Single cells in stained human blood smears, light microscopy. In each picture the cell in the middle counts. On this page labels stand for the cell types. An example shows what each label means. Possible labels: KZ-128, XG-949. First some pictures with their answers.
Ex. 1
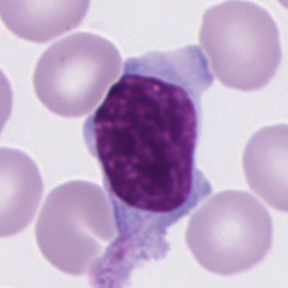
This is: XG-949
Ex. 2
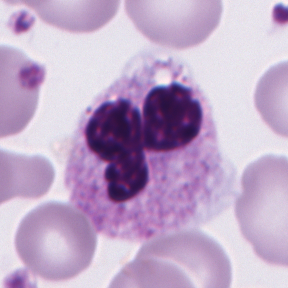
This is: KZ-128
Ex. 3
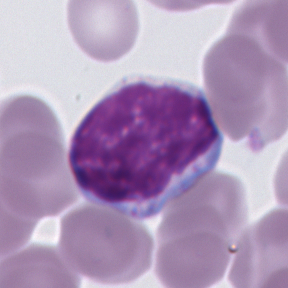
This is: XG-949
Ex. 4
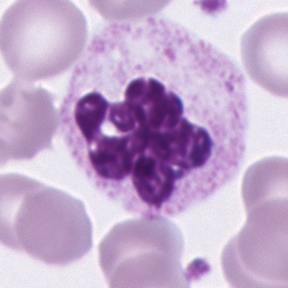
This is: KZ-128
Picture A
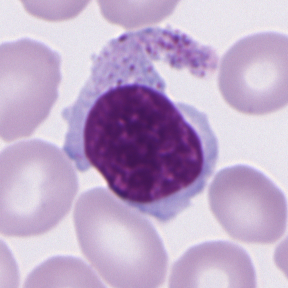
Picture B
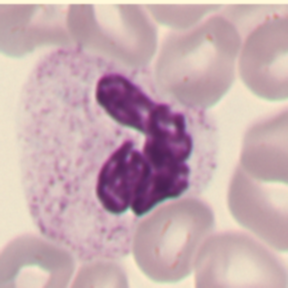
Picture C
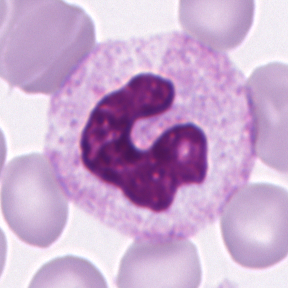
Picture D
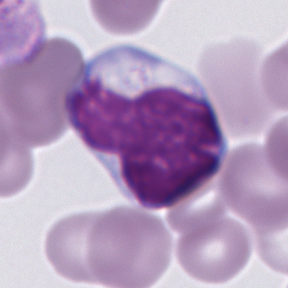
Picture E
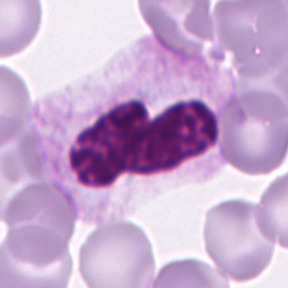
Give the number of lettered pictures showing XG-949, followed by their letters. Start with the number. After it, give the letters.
2: A, D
